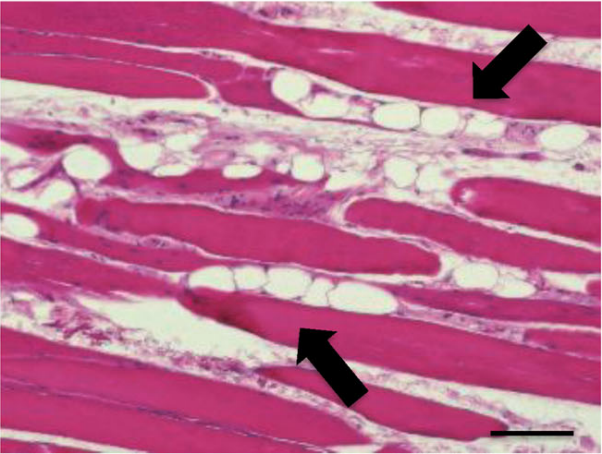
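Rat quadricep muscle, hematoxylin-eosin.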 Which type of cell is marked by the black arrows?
Adipocytes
